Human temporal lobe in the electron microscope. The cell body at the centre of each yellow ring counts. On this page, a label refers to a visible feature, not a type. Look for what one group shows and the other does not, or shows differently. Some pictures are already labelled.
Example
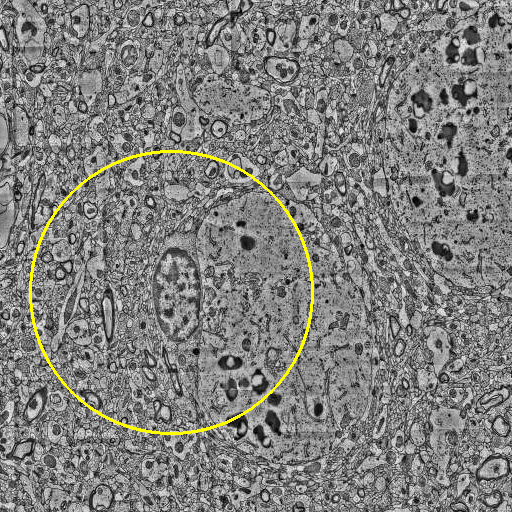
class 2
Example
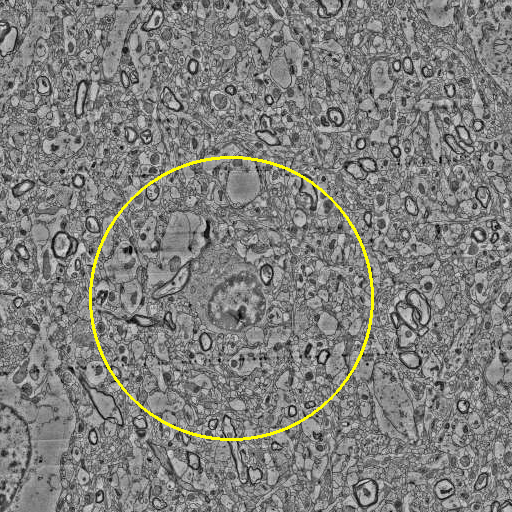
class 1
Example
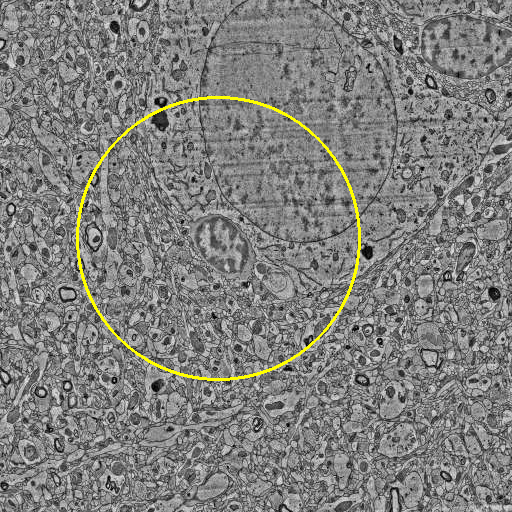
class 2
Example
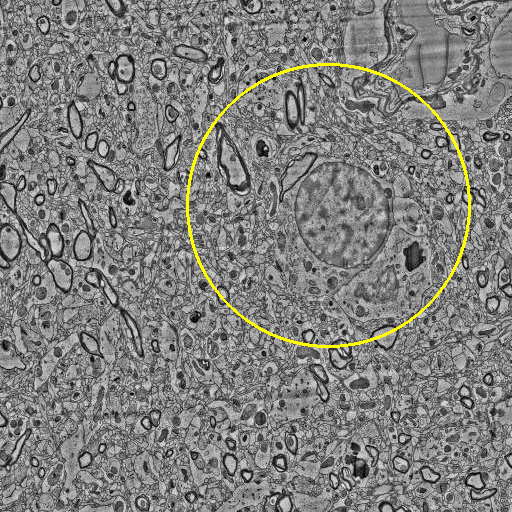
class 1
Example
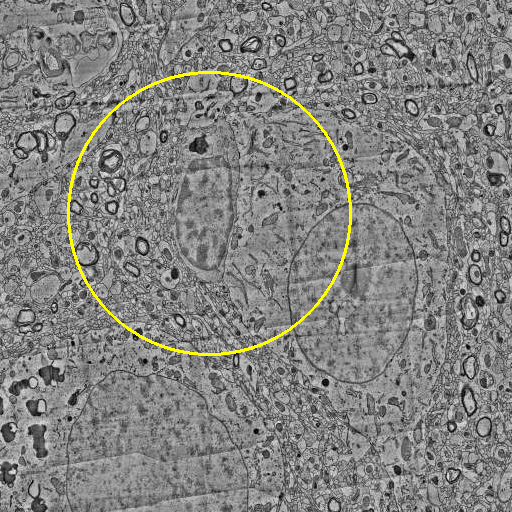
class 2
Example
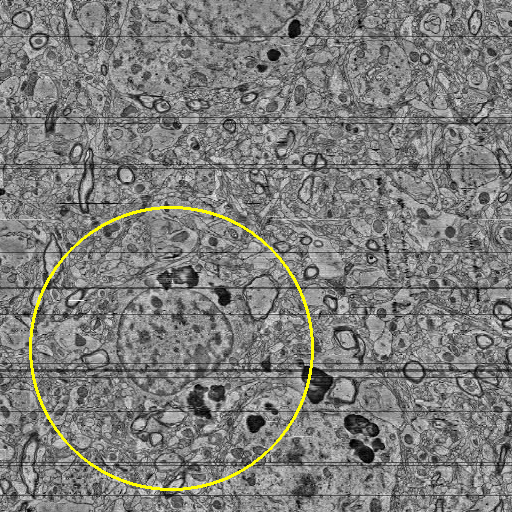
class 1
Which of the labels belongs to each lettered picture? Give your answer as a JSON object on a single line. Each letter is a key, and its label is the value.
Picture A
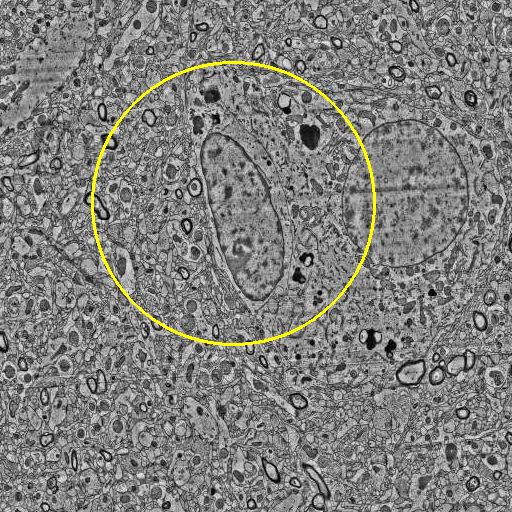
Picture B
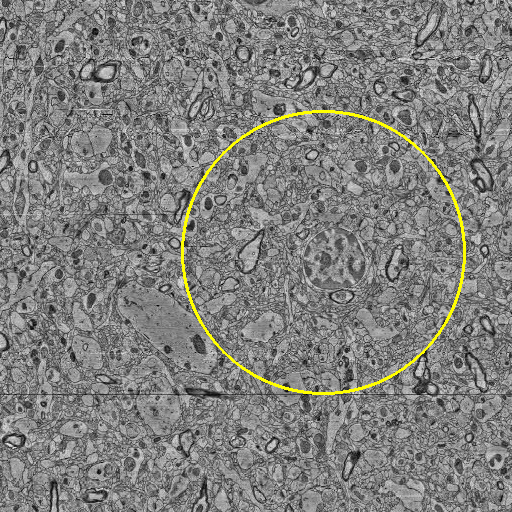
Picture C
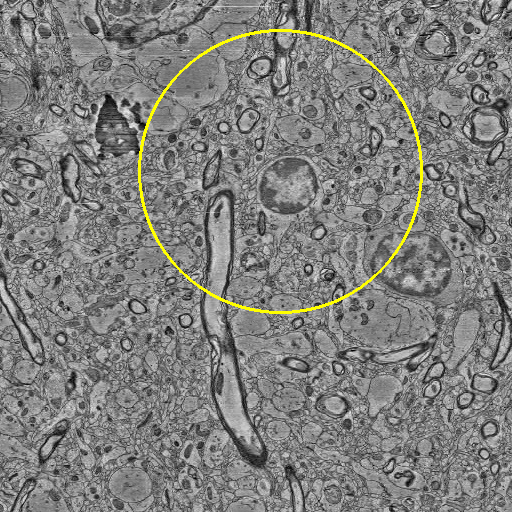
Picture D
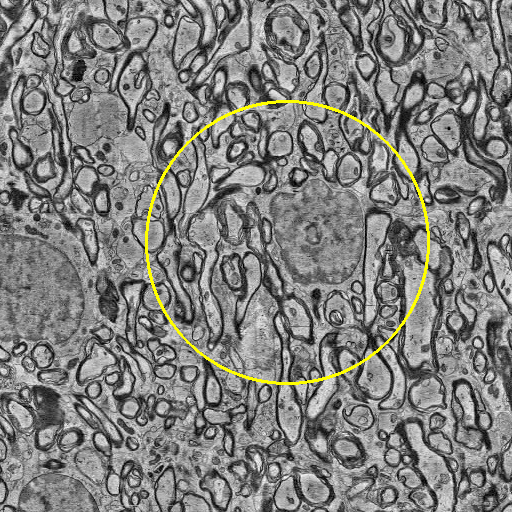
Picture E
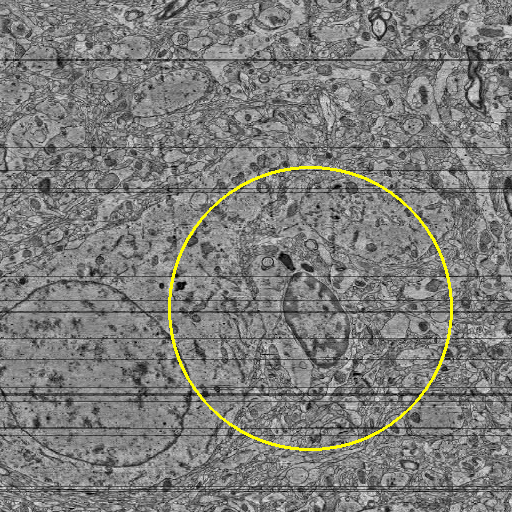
{"A": "class 2", "B": "class 1", "C": "class 1", "D": "class 1", "E": "class 2"}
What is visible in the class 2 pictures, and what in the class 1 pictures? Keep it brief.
Seen in class 2: clearly elongated nuclei; seen in class 1: round or nearly round nuclei.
